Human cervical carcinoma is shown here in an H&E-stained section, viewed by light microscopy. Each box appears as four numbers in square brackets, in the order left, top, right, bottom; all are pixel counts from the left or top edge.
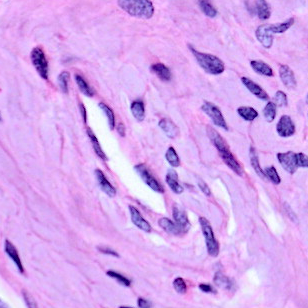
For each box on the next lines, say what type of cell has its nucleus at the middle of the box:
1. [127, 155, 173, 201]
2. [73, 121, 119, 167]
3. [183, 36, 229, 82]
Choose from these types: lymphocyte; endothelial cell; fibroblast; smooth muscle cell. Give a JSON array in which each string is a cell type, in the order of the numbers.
["endothelial cell", "endothelial cell", "fibroblast"]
